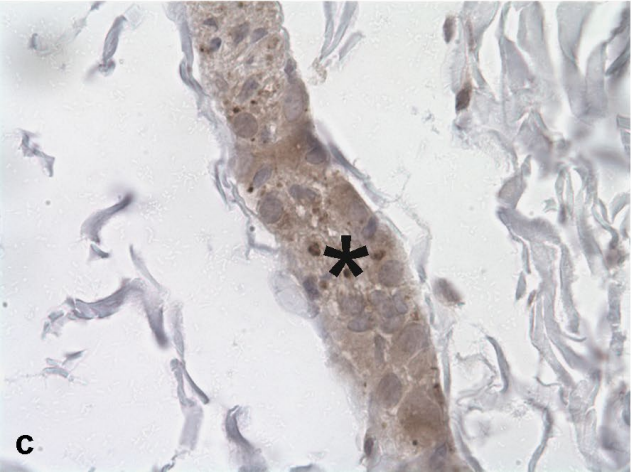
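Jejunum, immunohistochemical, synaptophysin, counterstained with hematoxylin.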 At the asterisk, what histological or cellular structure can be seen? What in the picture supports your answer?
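Submucosal nerve plexuses. An elongated band of tissue with light brown granular staining. Many oval nuclei lie within the band. The band is surrounded by loose pale connective tissue.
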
